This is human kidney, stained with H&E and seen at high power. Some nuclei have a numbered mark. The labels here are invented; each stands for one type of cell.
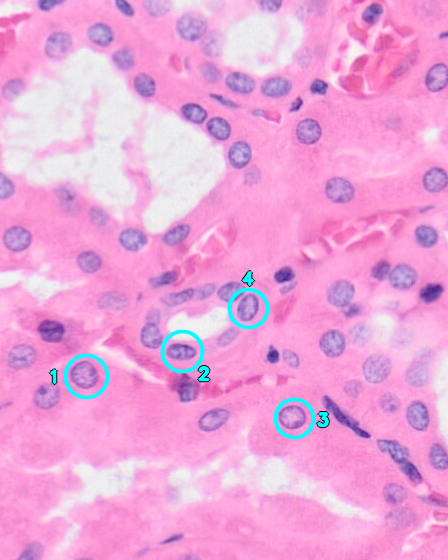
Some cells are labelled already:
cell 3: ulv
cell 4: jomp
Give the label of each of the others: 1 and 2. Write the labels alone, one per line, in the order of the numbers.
ulv
jomp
